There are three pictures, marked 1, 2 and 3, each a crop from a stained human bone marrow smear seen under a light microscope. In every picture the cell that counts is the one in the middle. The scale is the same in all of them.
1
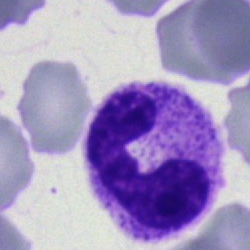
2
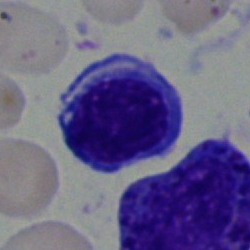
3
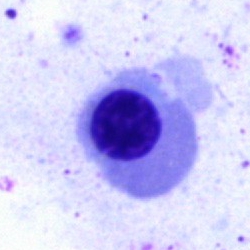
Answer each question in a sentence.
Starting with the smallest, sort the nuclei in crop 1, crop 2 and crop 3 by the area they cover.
The order is 3, 2, 1, beginning with the smallest.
